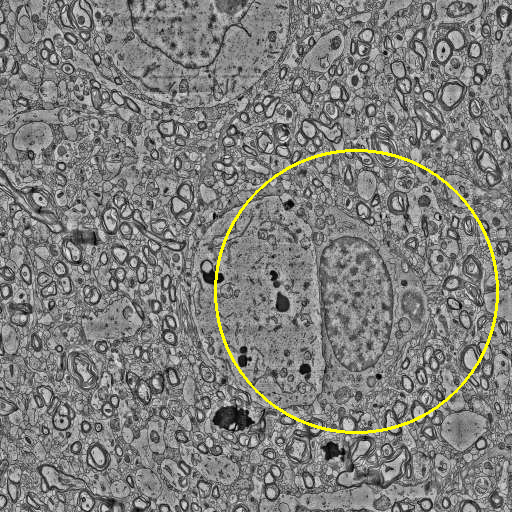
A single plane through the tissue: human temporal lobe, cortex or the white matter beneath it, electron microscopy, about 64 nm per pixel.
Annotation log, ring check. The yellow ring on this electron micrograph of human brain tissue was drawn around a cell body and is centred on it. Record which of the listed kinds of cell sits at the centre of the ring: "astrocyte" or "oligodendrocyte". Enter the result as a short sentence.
The cell at the centre of the ring is an oligodendrocyte.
